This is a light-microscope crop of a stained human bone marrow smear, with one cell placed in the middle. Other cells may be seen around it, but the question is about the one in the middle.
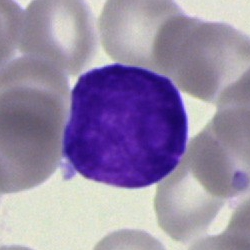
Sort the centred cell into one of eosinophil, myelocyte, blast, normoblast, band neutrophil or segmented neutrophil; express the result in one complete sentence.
The target cell in the middle of the crop is a blast.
